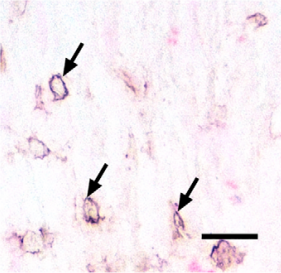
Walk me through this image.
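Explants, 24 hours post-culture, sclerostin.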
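Pale bone matrix with scattered osteocytes, each lying alone in a small oval lacuna outlined in dark purple. Some cells show short, thin extensions into the matrix, and the cells are spaced apart rather than forming layers.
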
